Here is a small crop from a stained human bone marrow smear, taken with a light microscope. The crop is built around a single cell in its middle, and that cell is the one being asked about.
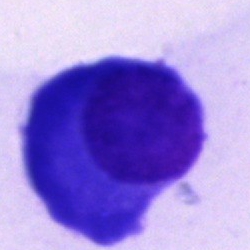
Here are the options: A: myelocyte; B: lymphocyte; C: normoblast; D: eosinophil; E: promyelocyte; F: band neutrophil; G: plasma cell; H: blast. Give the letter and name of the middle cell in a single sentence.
Option G holds up: the cell in the middle is a plasma cell.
